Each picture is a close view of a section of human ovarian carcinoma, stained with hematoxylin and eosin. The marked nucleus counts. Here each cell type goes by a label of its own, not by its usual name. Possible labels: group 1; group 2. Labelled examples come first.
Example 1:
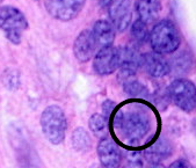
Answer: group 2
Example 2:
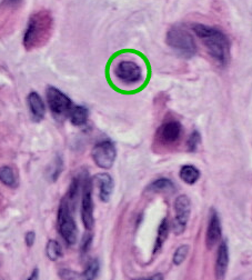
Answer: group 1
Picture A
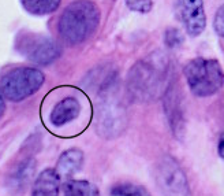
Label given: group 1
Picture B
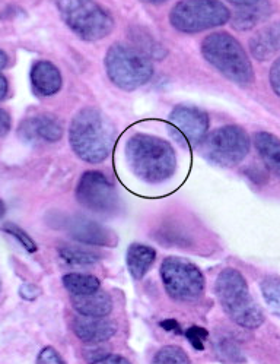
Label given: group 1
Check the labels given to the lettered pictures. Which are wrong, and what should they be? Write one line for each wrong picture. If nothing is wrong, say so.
B: change group 1 to group 2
